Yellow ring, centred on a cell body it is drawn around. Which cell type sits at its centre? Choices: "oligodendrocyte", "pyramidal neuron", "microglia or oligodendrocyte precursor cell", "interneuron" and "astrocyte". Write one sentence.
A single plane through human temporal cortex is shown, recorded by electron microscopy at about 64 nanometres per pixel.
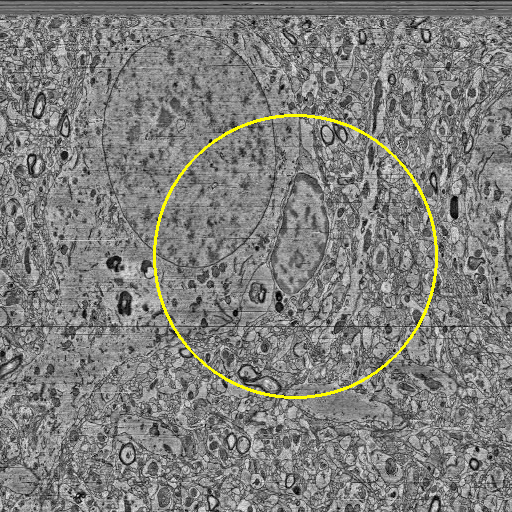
At the centre of the ring sits a microglial cell or oligodendrocyte precursor cell.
